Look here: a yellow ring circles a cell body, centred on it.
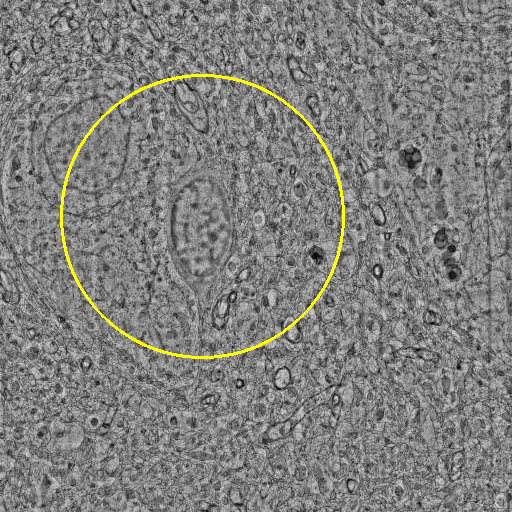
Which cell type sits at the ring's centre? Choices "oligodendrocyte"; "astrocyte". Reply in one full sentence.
The cell at the centre of the yellow ring in the picture is an oligodendrocyte.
